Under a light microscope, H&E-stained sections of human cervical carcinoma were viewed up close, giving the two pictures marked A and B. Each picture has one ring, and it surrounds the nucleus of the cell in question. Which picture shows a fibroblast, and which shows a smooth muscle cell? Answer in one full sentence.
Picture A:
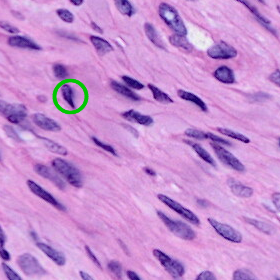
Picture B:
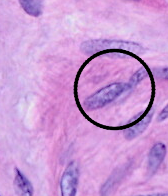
In picture A the cell is a fibroblast; in picture B, a smooth muscle cell.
